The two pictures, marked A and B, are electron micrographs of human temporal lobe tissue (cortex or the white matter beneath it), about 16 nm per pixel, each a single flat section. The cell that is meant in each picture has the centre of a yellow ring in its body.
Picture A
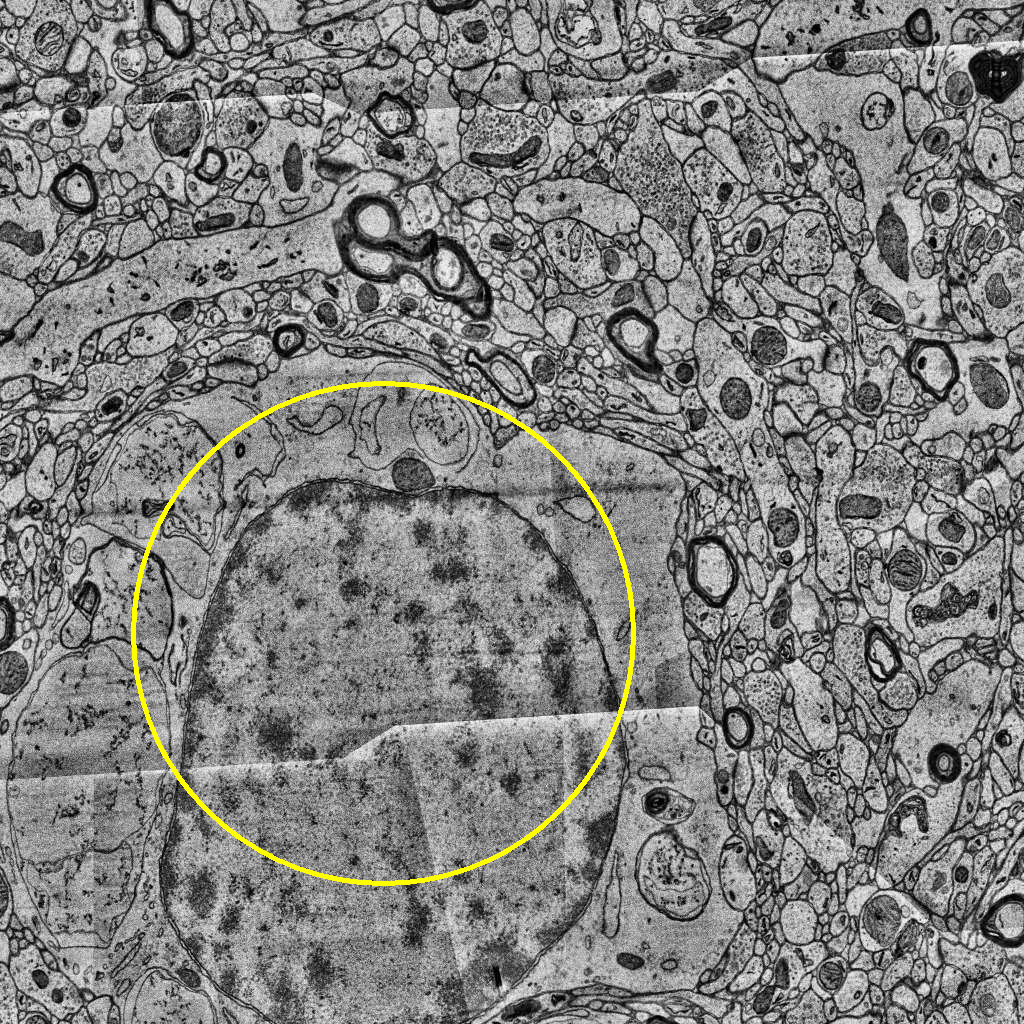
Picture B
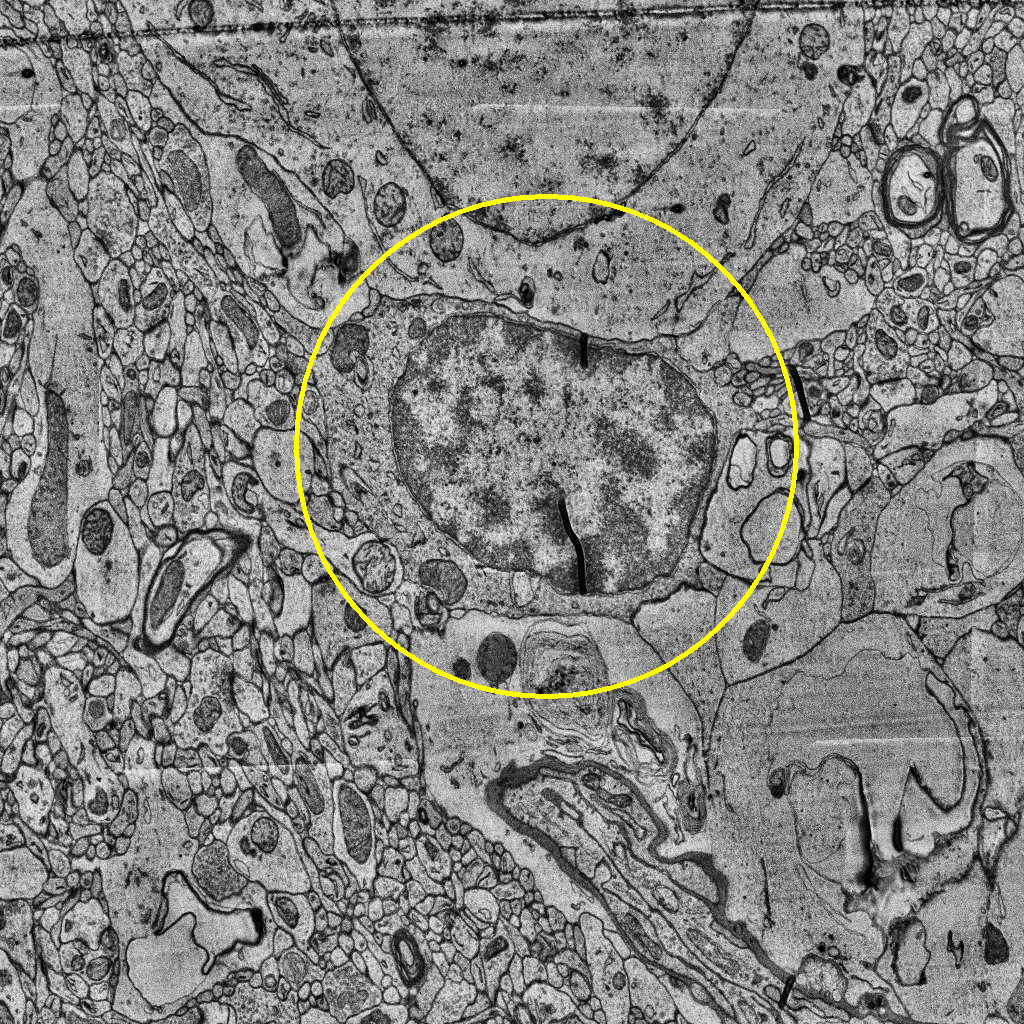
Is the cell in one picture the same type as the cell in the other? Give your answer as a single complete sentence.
No. Picture A shows an astrocyte, but picture B shows an oligodendrocyte.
